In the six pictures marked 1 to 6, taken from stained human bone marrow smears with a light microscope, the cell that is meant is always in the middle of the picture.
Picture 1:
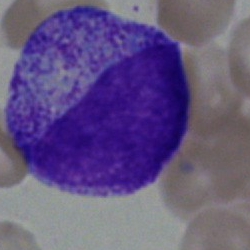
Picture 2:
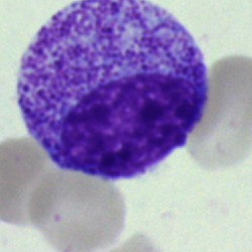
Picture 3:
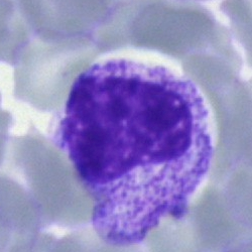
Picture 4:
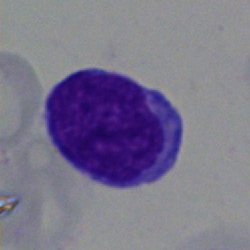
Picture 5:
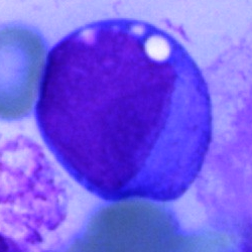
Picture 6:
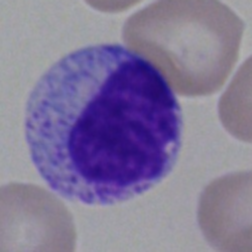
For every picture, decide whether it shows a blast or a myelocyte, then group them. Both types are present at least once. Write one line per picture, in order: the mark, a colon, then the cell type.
1: myelocyte
2: myelocyte
3: myelocyte
4: blast
5: blast
6: myelocyte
